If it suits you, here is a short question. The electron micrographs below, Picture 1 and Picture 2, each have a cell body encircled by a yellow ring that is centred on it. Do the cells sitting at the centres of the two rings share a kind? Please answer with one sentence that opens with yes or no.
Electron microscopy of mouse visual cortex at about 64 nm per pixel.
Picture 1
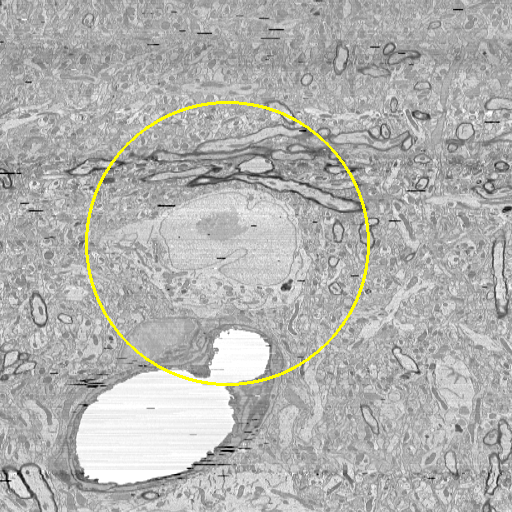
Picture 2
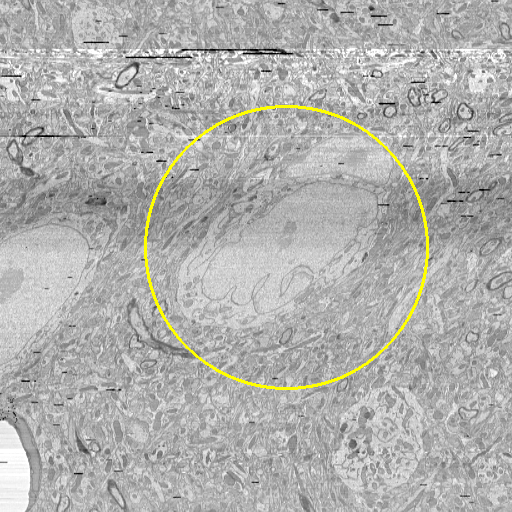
No, the two cells sitting at the ring centres fall into two kinds.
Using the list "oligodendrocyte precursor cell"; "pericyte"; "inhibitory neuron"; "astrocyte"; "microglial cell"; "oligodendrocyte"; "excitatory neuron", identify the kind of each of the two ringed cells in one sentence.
The first is an excitatory neuron and the second is an inhibitory neuron.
